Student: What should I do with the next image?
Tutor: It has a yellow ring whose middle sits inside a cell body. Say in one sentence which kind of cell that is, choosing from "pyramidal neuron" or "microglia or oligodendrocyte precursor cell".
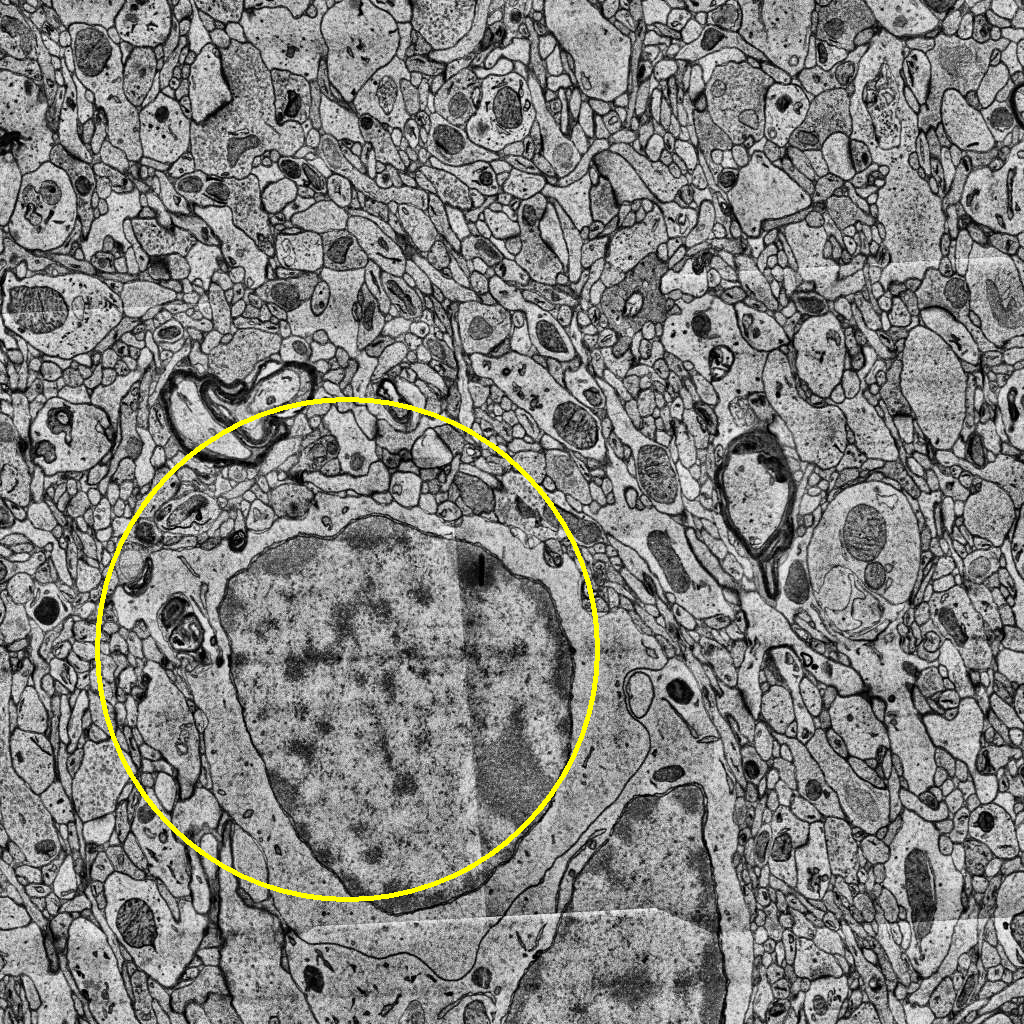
The ring's centre is occupied by a microglial cell or oligodendrocyte precursor cell.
